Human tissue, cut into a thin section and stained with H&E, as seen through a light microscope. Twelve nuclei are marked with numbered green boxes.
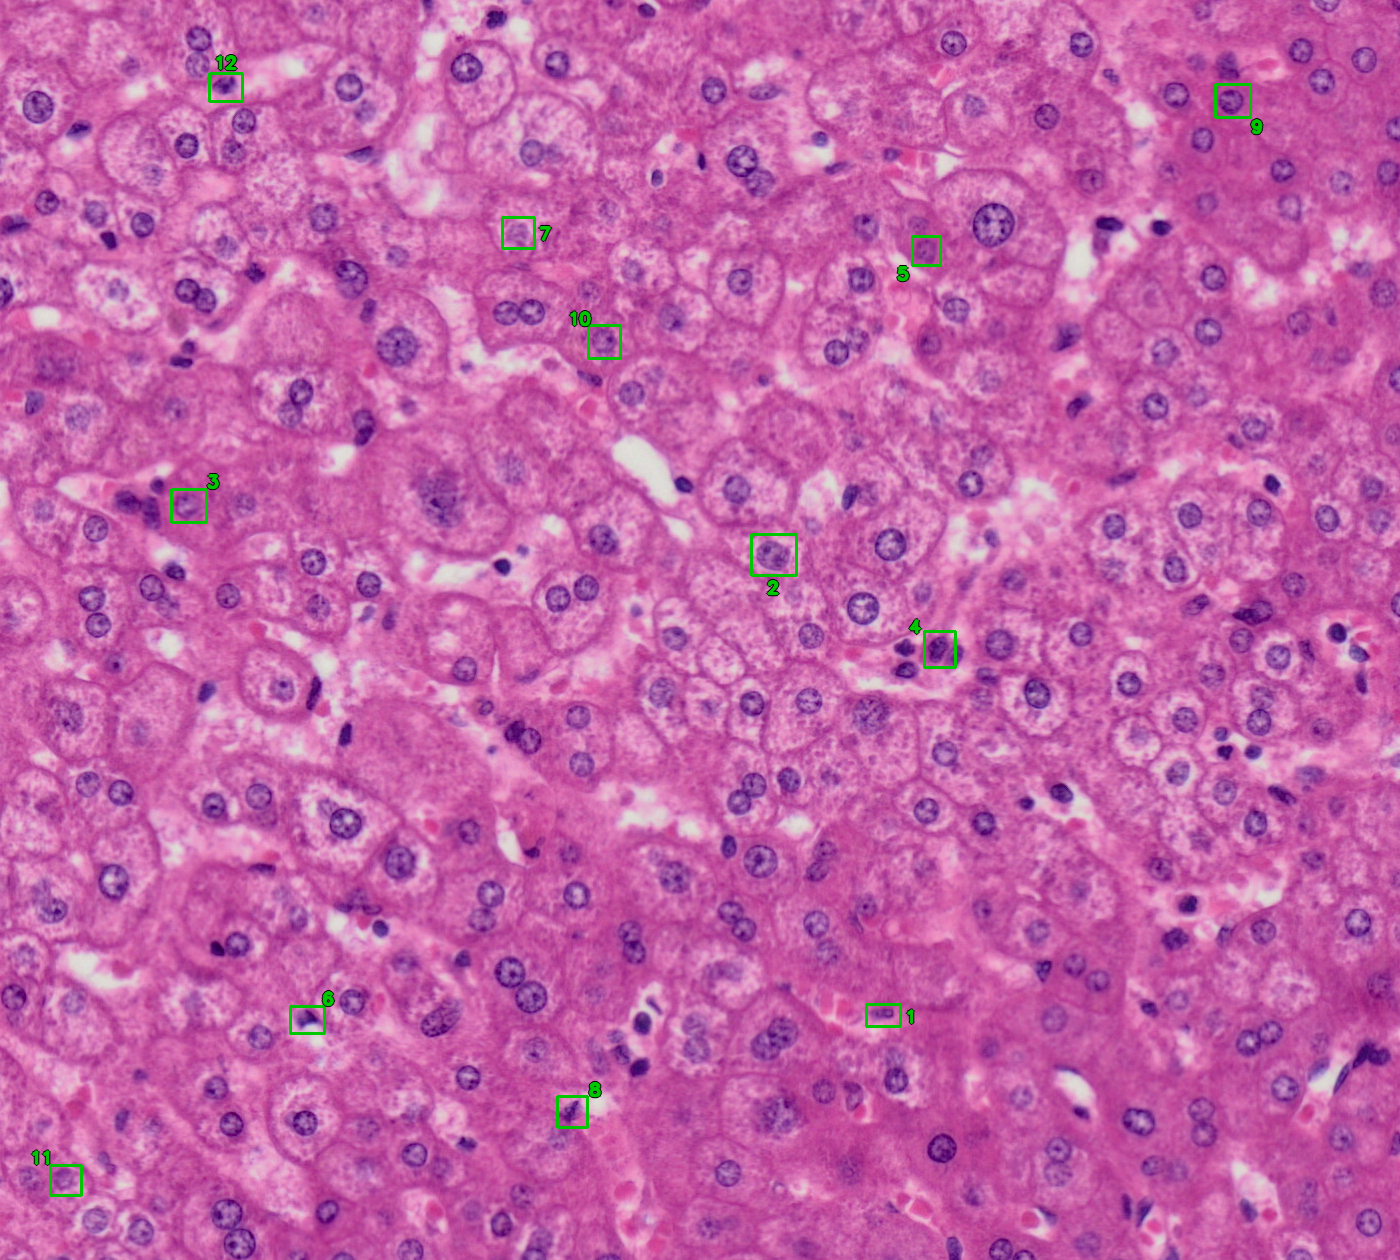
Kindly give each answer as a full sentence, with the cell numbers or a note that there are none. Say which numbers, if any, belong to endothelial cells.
The numbers 1, 6, 8 and 12 refer to cells that are endothelial cells.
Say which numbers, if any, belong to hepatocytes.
In terms of cell type, cells 2, 3, 5, 7, 9, 10 and 11 are hepatocytes.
